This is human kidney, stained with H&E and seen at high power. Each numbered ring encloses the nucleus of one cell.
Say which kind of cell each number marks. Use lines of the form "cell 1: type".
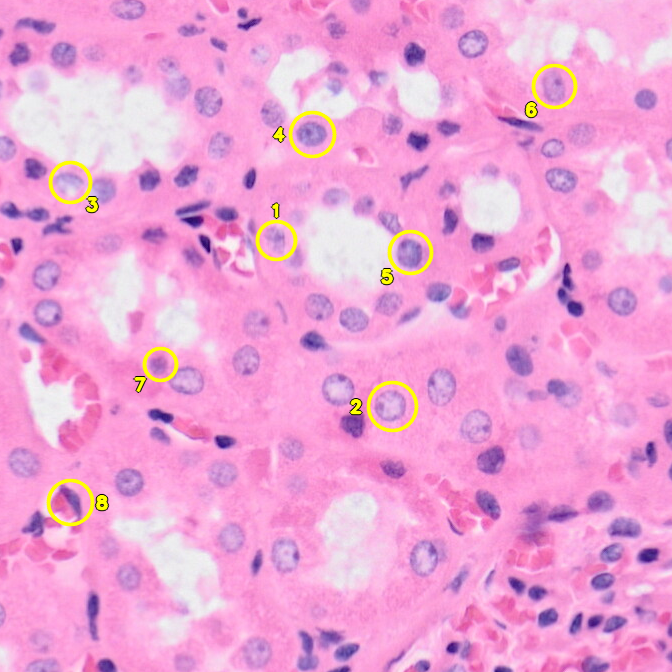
cell 1: loop of Henle or distal tubule cell
cell 2: proximal tubule cell
cell 3: loop of Henle or distal tubule cell
cell 4: loop of Henle or distal tubule cell
cell 5: loop of Henle or distal tubule cell
cell 6: proximal tubule cell
cell 7: proximal tubule cell
cell 8: endothelial cell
